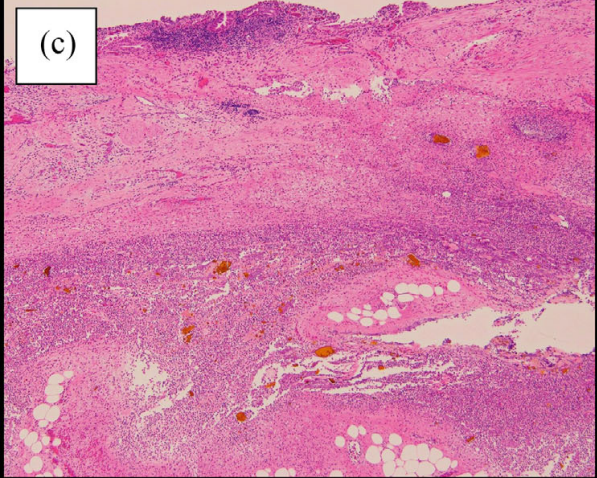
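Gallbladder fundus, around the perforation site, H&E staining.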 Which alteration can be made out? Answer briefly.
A: abscess formation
